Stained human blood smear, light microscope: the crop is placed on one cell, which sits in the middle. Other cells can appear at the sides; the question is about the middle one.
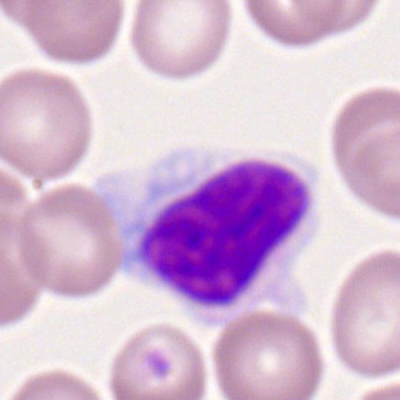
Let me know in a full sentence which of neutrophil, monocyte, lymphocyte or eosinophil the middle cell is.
The cell in the middle of this crop is a lymphocyte.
